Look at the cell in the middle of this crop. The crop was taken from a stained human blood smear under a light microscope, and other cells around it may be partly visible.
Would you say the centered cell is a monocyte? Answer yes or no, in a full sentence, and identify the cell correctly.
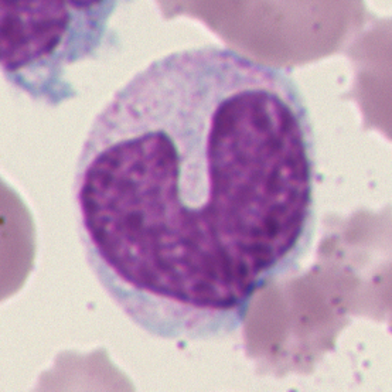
No, this cell in the middle is a band neutrophil, so it is not a monocyte.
